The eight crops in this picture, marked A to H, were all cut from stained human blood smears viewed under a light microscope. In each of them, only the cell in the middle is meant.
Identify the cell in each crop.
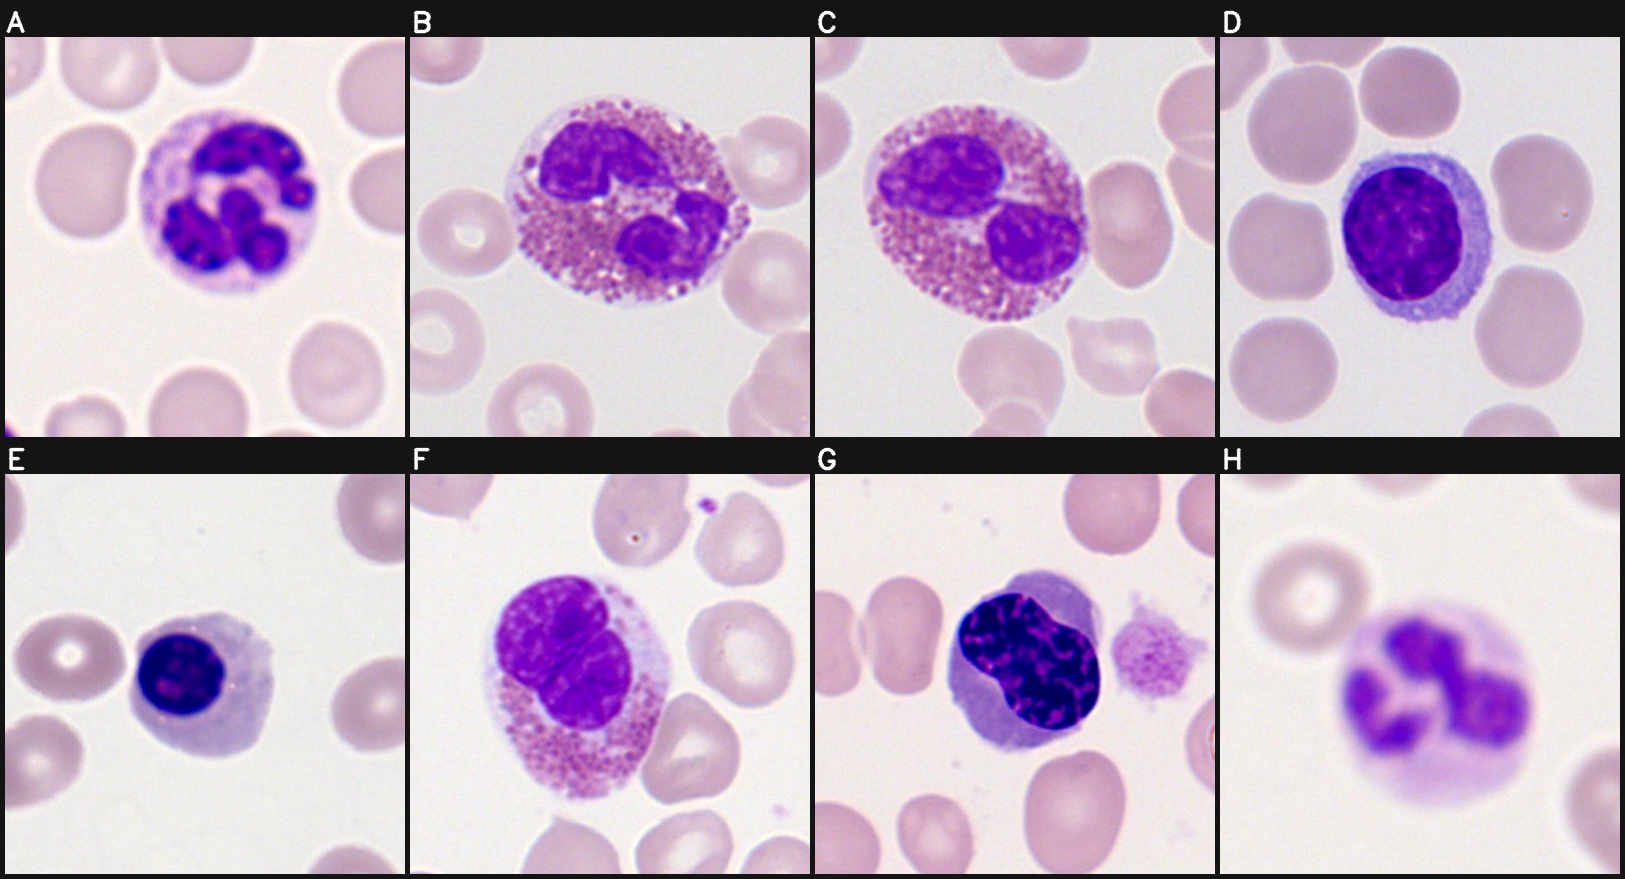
A: segmented neutrophil
B: eosinophil
C: eosinophil
D: lymphocyte
E: erythroblast
F: eosinophil
G: erythroblast
H: segmented neutrophil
